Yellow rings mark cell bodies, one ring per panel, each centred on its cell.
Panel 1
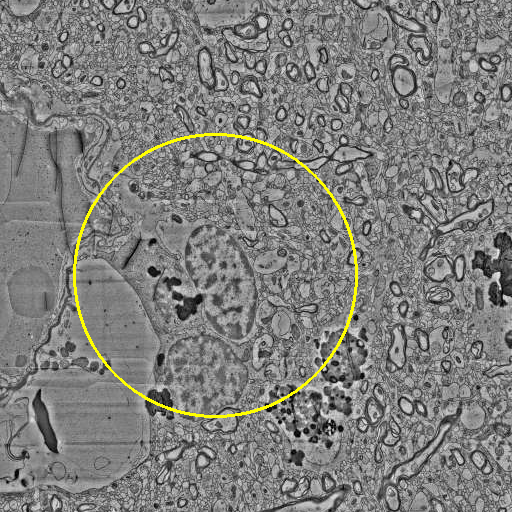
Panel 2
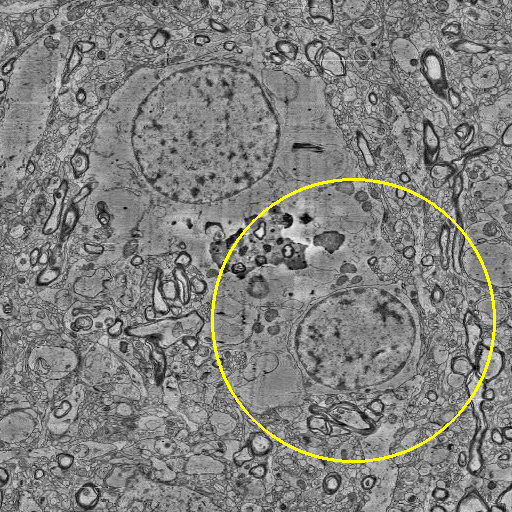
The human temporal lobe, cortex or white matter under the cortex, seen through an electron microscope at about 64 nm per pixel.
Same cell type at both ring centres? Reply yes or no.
yes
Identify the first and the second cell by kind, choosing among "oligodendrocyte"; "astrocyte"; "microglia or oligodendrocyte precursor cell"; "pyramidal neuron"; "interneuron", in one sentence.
Each of the ringed cells, first and second, is a microglial cell or oligodendrocyte precursor cell.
